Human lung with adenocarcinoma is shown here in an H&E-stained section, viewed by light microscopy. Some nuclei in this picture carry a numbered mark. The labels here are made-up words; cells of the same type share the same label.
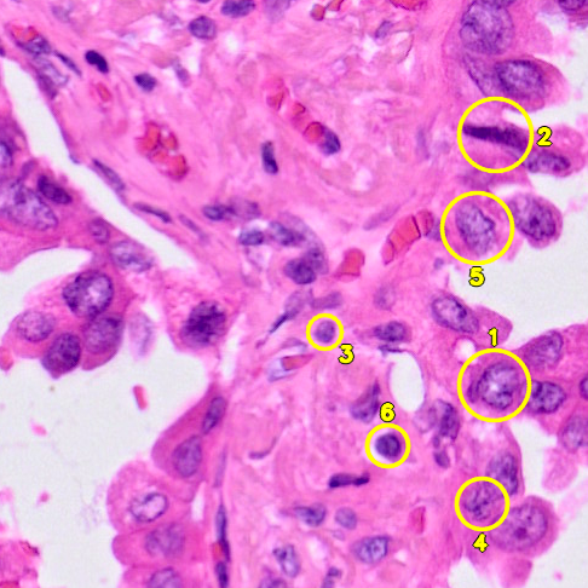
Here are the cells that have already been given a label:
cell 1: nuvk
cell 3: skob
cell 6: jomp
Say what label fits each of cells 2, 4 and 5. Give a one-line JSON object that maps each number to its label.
{"2": "nuvk", "4": "nuvk", "5": "nuvk"}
